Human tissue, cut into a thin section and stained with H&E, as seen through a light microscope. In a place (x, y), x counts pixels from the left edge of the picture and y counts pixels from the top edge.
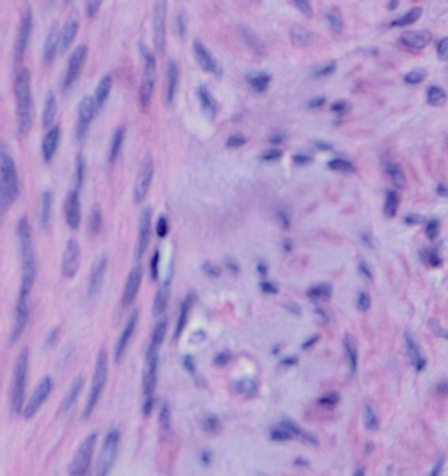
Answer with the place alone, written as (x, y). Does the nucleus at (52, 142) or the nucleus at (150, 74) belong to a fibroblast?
(52, 142)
